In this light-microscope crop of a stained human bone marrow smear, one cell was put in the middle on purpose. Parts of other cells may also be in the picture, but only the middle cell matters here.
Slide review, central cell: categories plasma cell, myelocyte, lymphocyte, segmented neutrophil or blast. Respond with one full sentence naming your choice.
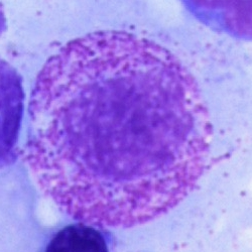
In the middle of this smear crop is a myelocyte.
